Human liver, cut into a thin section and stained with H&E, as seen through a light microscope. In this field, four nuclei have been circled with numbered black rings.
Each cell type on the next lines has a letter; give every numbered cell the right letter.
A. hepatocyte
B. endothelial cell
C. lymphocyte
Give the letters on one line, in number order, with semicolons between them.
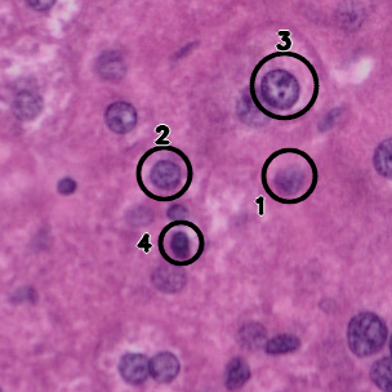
B; A; A; C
